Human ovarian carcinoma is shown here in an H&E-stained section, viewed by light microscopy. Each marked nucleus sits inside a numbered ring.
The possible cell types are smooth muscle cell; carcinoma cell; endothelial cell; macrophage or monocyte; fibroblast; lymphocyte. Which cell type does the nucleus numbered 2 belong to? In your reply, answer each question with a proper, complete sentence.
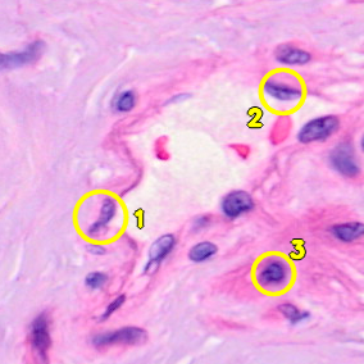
In the marked set, the cell given number 2 is an endothelial cell.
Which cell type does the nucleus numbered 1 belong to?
What the number 1 marks in this field is an endothelial cell.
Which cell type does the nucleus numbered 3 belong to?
The numbered cell 3 is identified here as a smooth muscle cell.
